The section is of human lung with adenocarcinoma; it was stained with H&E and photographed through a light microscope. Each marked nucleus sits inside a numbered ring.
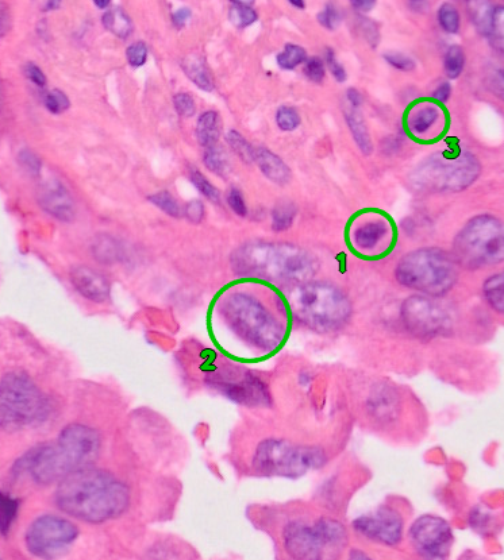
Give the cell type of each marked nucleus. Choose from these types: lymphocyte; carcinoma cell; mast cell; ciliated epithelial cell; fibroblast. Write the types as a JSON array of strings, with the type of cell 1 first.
["lymphocyte", "carcinoma cell", "lymphocyte"]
